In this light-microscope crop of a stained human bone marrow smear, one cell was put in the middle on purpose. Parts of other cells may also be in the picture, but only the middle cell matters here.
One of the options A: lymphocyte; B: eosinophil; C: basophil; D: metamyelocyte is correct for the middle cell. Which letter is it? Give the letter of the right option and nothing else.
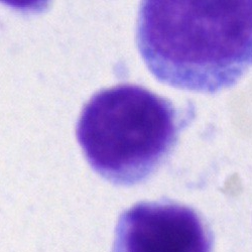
A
